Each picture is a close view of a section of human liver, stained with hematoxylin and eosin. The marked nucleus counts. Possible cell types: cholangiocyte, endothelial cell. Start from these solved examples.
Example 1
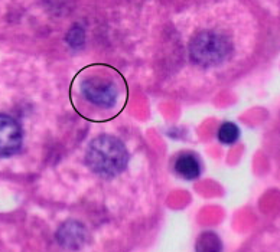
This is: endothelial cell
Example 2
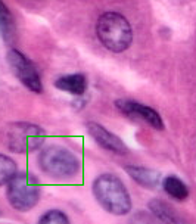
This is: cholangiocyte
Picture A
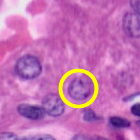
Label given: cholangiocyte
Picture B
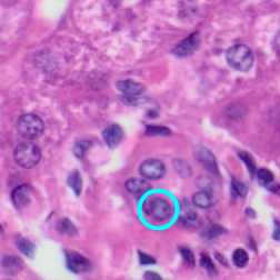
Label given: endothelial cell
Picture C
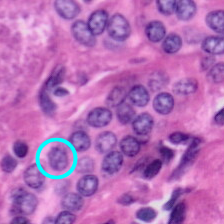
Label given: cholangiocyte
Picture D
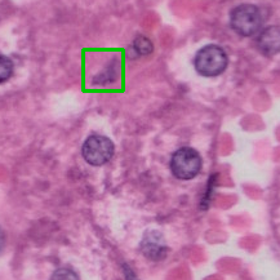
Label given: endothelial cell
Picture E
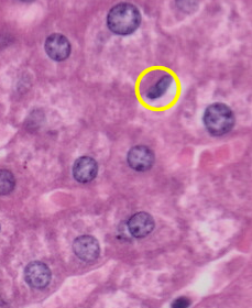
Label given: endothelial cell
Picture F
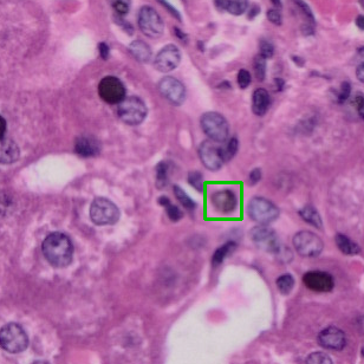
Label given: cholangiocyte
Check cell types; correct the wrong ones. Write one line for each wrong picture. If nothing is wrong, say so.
B: cholangiocyte, not endothelial cell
